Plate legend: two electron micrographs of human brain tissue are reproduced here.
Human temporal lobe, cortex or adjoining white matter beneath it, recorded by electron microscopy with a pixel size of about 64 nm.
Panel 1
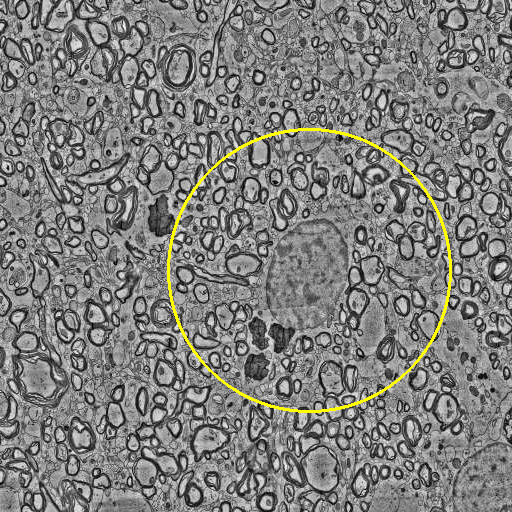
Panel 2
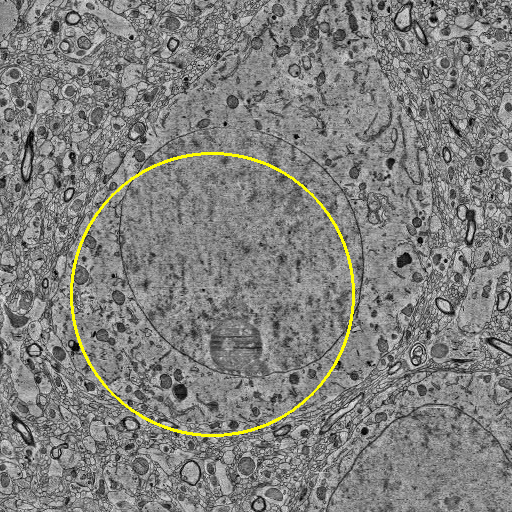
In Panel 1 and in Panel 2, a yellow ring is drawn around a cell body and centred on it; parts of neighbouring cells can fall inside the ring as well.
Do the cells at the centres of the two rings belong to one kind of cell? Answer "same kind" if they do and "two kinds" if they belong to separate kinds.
two kinds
